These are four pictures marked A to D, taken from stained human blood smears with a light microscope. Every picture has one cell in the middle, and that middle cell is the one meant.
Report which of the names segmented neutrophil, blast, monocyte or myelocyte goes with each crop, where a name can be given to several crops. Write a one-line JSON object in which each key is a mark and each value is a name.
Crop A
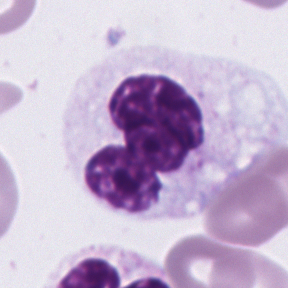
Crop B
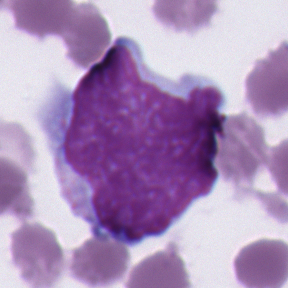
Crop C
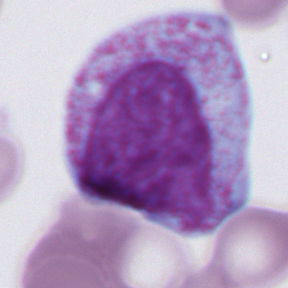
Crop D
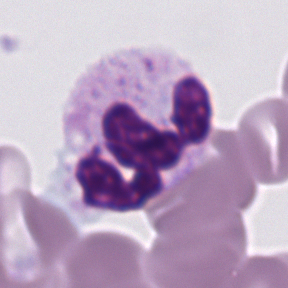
{"A": "segmented neutrophil", "B": "blast", "C": "myelocyte", "D": "segmented neutrophil"}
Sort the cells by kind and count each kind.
segmented neutrophil: 2
blast: 1
myelocyte: 1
